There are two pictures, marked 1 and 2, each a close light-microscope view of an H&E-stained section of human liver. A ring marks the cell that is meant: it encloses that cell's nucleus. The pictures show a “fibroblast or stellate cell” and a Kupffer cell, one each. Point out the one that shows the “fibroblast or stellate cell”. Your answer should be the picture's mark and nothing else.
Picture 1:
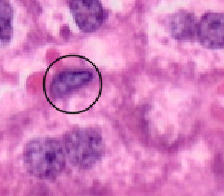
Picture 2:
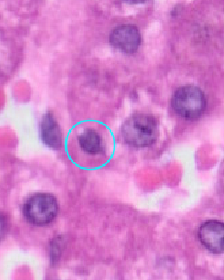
2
